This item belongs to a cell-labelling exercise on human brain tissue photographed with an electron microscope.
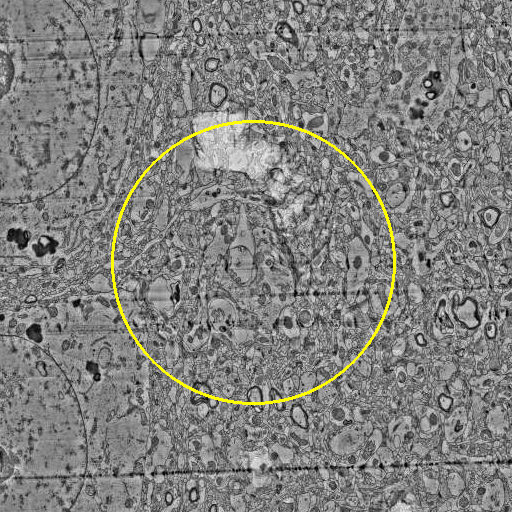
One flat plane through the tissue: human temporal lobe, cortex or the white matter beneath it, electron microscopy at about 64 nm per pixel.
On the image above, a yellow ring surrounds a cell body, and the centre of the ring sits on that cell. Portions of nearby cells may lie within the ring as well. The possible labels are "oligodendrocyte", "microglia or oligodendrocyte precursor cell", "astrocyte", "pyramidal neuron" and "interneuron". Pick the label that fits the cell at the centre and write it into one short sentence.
This cell should be labelled as an interneuron.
